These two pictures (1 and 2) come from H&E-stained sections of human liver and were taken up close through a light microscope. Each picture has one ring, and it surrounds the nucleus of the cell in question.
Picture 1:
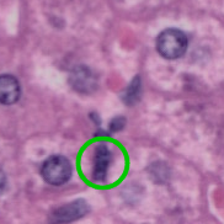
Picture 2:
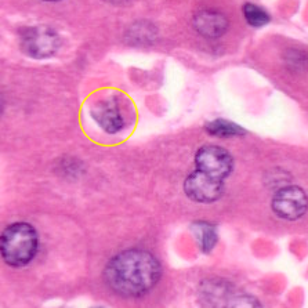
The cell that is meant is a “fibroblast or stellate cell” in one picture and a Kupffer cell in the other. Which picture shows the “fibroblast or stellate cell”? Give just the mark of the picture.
1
